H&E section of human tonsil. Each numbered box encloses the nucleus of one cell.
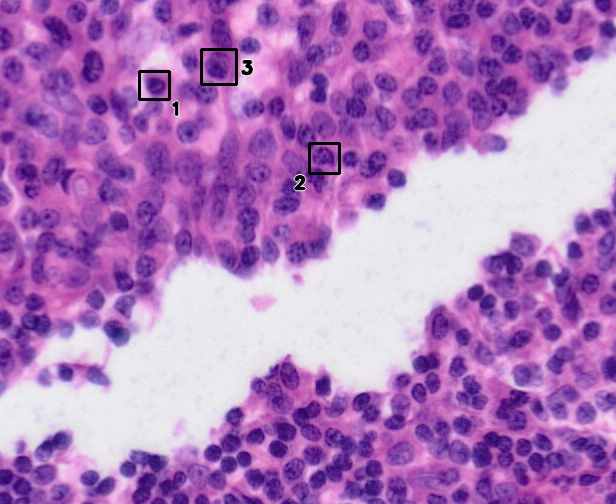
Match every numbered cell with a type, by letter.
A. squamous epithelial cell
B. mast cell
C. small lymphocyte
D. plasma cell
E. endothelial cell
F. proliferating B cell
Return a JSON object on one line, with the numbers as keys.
{"1": "D", "2": "D", "3": "A"}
